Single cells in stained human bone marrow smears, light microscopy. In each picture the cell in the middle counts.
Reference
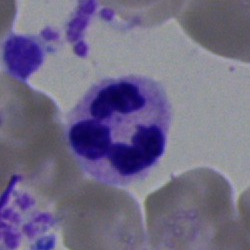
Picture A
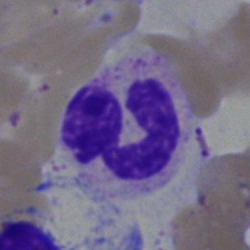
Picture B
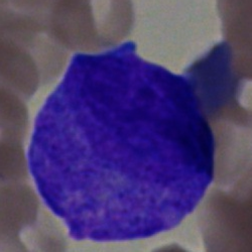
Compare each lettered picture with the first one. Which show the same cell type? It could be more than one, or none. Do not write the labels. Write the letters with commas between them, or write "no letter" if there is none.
A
